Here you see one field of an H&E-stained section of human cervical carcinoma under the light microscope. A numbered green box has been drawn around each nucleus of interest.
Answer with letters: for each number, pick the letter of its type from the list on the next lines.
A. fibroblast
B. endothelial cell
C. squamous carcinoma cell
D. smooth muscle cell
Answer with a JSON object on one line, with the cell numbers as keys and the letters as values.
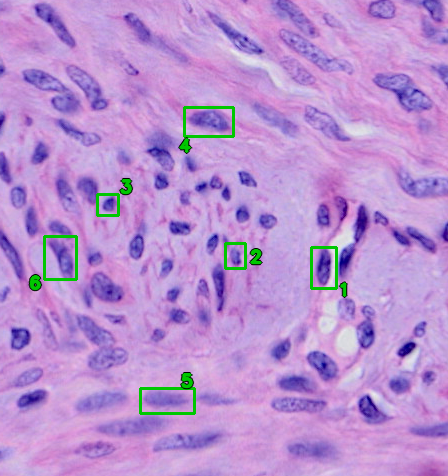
{"1": "B", "2": "D", "3": "D", "4": "D", "5": "A", "6": "D"}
